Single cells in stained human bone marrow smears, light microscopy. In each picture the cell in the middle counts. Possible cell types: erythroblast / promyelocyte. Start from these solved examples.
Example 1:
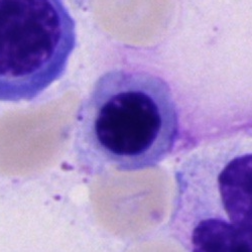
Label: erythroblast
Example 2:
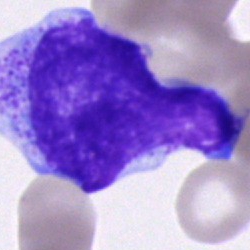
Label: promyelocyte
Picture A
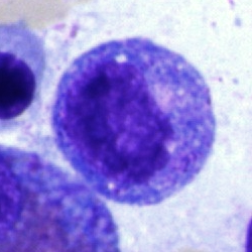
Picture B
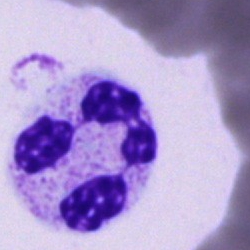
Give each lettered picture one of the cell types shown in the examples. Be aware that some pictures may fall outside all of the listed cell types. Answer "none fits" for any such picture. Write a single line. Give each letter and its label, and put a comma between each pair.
A promyelocyte, B none fits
